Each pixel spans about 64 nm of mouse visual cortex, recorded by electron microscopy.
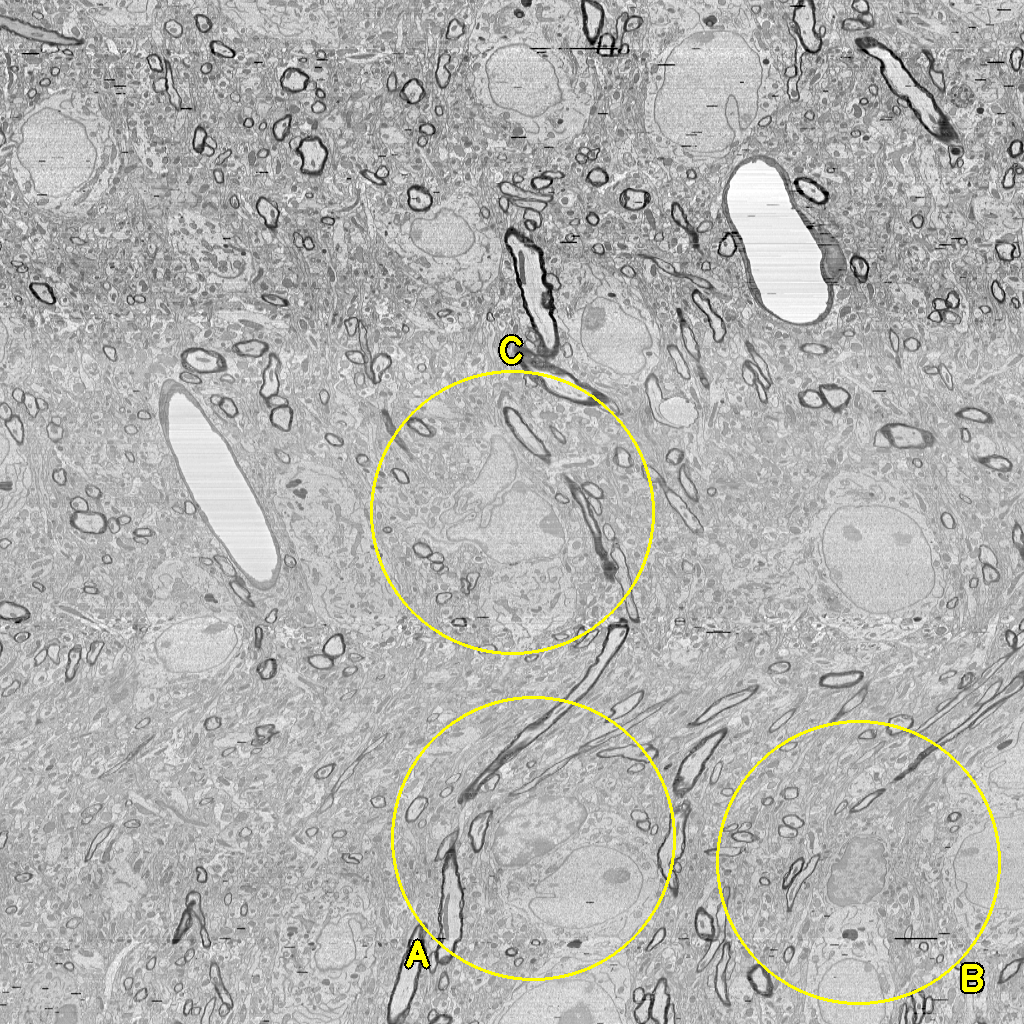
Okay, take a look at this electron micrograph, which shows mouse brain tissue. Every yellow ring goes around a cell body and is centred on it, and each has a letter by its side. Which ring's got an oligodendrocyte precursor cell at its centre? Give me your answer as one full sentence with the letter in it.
The one you're after is ring C, centred on the cell you asked about.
